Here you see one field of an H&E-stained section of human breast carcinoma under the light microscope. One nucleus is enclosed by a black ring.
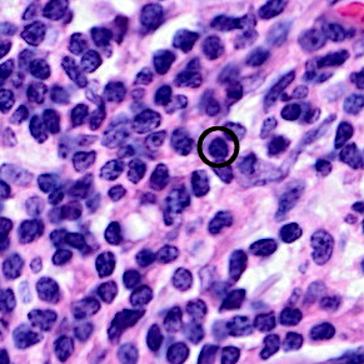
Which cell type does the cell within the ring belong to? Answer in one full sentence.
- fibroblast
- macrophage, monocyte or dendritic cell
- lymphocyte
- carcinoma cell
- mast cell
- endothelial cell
In this preparation, the cell within the ring is a lymphocyte.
